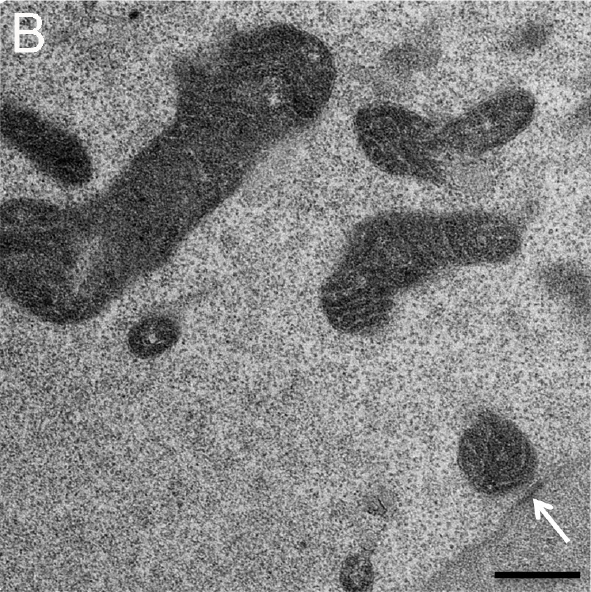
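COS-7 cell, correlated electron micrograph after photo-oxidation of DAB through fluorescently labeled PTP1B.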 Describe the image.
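Several mitochondria of varied shapes, from a long curved tube to small round profiles, lie scattered in a pale, finely granular cytoplasm. Their interiors are uniformly dark with a dense deposit, while faint paler lines within them trace the cristae. At the lower right, a round mitochondrion sits directly against a membrane that is itself darker along the contact. The dark deposit marks the mitochondrial matrix, with the spaces within the cristae left unstained.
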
